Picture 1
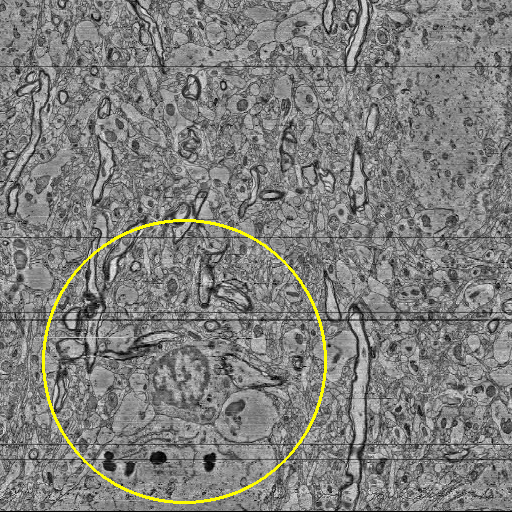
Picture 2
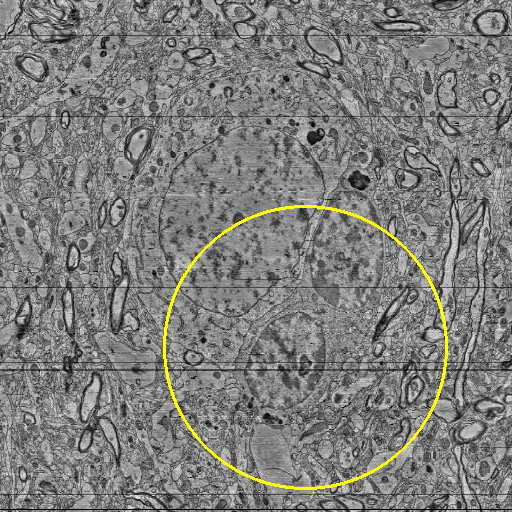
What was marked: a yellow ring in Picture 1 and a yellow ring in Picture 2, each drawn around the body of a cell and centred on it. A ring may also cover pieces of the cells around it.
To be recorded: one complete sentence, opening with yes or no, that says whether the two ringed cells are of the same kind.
Yes, the two ringed cells are of the same kind.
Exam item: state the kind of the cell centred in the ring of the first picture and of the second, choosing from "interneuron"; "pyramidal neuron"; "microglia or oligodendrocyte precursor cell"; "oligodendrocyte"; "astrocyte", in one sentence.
Each of the two pictures has an oligodendrocyte at the ring centre.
